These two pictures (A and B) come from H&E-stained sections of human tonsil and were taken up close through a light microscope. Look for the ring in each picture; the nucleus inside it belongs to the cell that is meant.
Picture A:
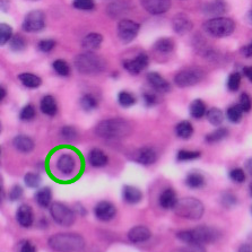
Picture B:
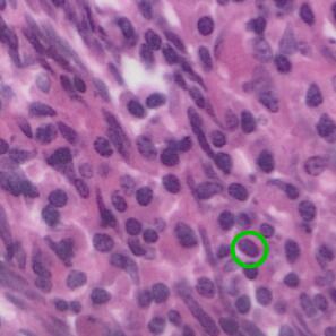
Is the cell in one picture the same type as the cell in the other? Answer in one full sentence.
Yes; the cells in both pictures are plasma cells.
